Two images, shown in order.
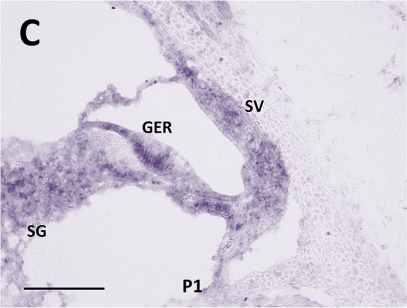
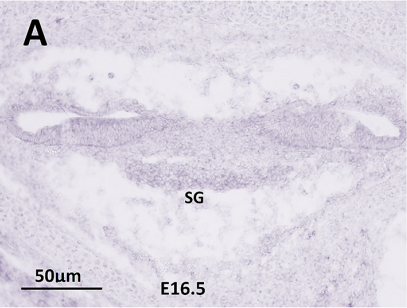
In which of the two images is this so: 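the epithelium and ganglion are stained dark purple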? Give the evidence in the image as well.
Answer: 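First image: the ganglion, epithelial ridge and lateral wall are clearly dark purple. Second image: the tissue is only faintly tinted, with no distinctly dark purple region. So: the first image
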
